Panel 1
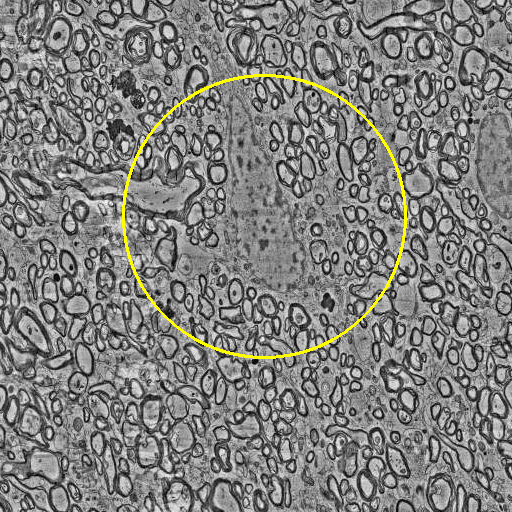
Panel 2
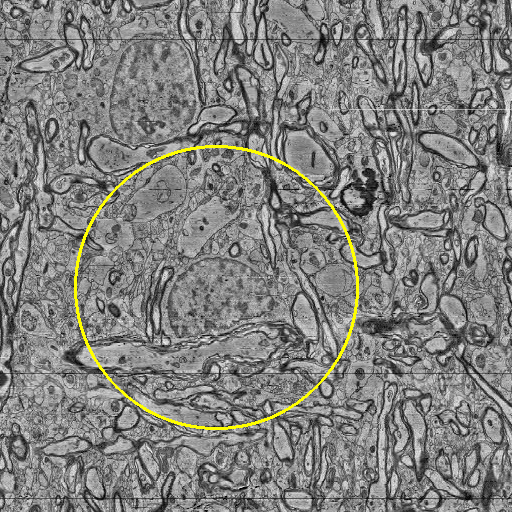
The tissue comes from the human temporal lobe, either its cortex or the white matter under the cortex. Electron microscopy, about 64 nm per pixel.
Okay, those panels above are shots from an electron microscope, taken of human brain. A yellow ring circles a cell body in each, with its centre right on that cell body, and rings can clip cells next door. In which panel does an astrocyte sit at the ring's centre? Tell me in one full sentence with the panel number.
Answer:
The cell you asked for sits at the ring's centre in panel 1.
